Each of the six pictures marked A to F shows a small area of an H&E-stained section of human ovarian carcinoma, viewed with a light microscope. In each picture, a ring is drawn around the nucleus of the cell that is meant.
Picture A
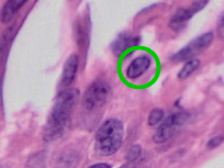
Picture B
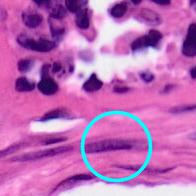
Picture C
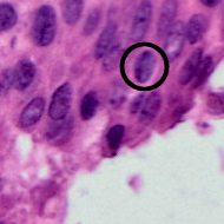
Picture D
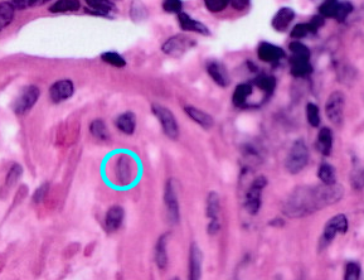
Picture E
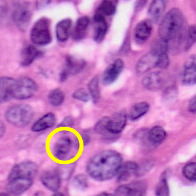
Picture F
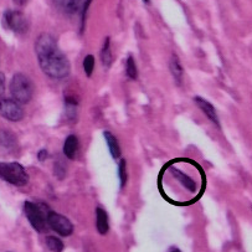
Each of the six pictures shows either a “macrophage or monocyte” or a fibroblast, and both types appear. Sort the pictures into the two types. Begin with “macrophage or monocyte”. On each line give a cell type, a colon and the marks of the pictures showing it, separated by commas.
macrophage or monocyte: A, C, E
fibroblast: B, D, F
